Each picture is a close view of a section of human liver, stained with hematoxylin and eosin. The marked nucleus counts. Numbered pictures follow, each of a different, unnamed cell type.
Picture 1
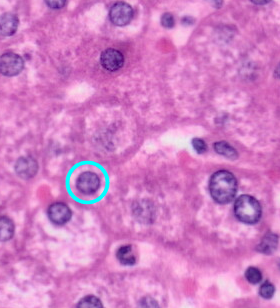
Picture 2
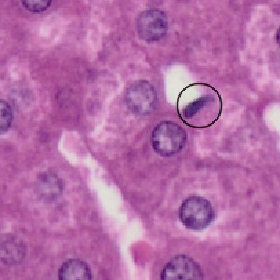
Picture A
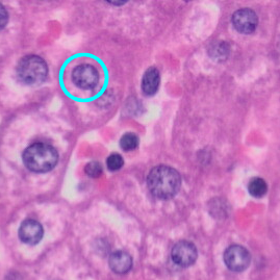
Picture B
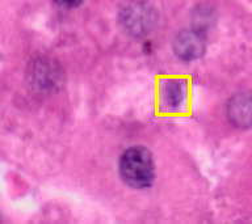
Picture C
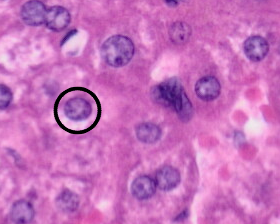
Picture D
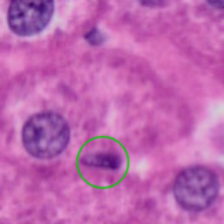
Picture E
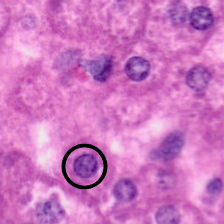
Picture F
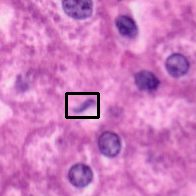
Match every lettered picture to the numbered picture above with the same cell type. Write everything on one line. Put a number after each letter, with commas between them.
A 1, B 2, C 1, D 2, E 1, F 2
